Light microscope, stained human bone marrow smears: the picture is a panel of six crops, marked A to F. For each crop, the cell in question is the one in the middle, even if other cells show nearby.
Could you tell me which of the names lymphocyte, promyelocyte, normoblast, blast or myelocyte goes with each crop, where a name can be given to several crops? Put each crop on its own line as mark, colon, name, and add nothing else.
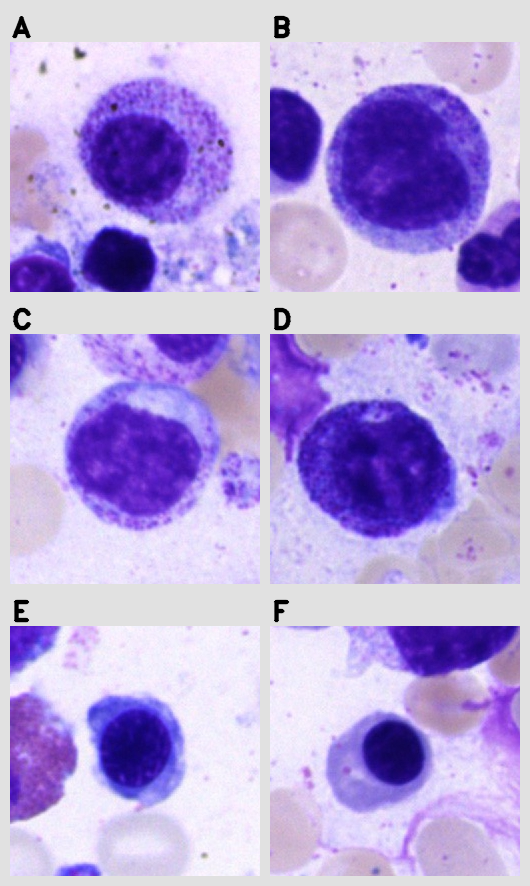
A: myelocyte
B: promyelocyte
C: myelocyte
D: promyelocyte
E: normoblast
F: normoblast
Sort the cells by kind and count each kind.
myelocyte: 2
promyelocyte: 2
normoblast: 2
